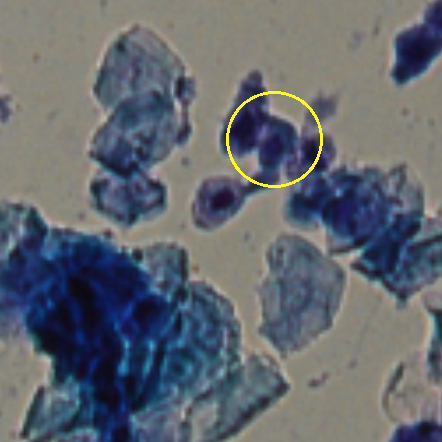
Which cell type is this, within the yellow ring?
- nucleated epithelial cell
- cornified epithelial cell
Within the ring is a nucleated epithelial cell.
